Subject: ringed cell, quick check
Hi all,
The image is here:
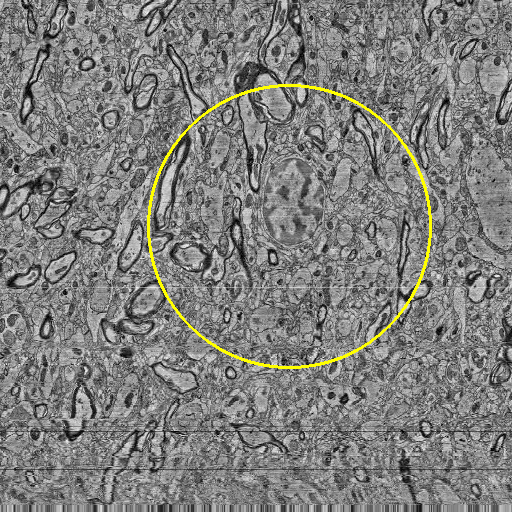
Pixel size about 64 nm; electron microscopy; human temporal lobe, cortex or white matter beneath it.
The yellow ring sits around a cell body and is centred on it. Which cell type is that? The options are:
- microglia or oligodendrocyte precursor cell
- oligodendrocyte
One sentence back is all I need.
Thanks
That ringed cell is a microglial cell or oligodendrocyte precursor cell.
